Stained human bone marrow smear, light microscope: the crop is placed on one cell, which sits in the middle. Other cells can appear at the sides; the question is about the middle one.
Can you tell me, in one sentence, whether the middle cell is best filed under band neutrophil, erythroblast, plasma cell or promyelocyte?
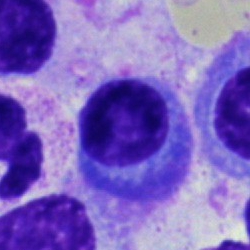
At the middle of the frame sits a plasma cell.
